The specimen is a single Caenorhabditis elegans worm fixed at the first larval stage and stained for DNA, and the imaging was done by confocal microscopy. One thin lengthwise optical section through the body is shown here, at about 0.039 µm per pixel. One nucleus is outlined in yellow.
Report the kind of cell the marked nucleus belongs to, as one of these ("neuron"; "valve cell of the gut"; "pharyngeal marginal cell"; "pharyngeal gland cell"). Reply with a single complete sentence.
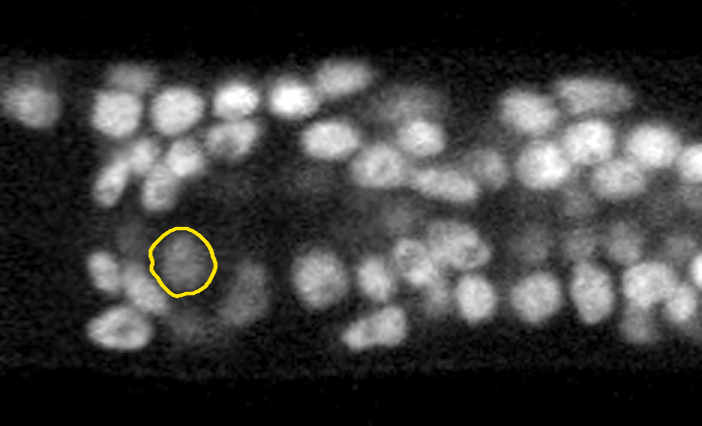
The marked nucleus is that of a pharyngeal gland cell.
